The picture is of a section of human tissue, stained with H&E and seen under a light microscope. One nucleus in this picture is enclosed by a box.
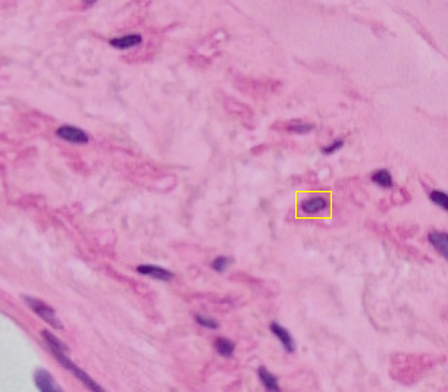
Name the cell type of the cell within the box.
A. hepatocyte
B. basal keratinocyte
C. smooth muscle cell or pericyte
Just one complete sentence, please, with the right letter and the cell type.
Since the cell within the box is a smooth muscle cell or pericyte, the right option is C.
